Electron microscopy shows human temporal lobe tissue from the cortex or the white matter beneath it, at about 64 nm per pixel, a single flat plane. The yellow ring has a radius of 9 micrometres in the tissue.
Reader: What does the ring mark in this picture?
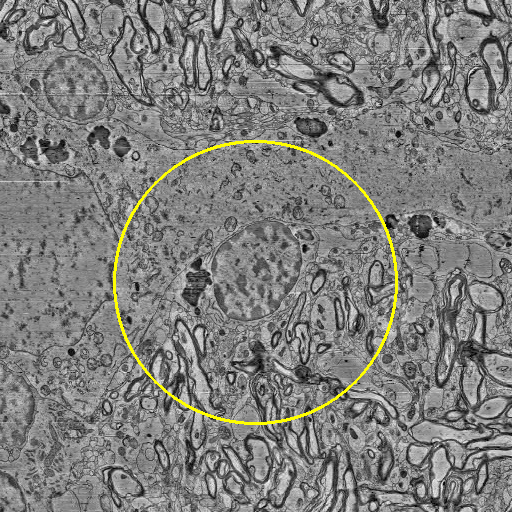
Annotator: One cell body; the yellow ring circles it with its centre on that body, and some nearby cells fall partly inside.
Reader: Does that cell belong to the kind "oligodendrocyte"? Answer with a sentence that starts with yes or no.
No, the cell at the ring's centre in this picture is of another kind.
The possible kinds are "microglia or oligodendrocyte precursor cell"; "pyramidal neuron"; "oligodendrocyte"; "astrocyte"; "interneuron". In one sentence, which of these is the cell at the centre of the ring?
It is a microglial cell or oligodendrocyte precursor cell at the centre of the ring.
